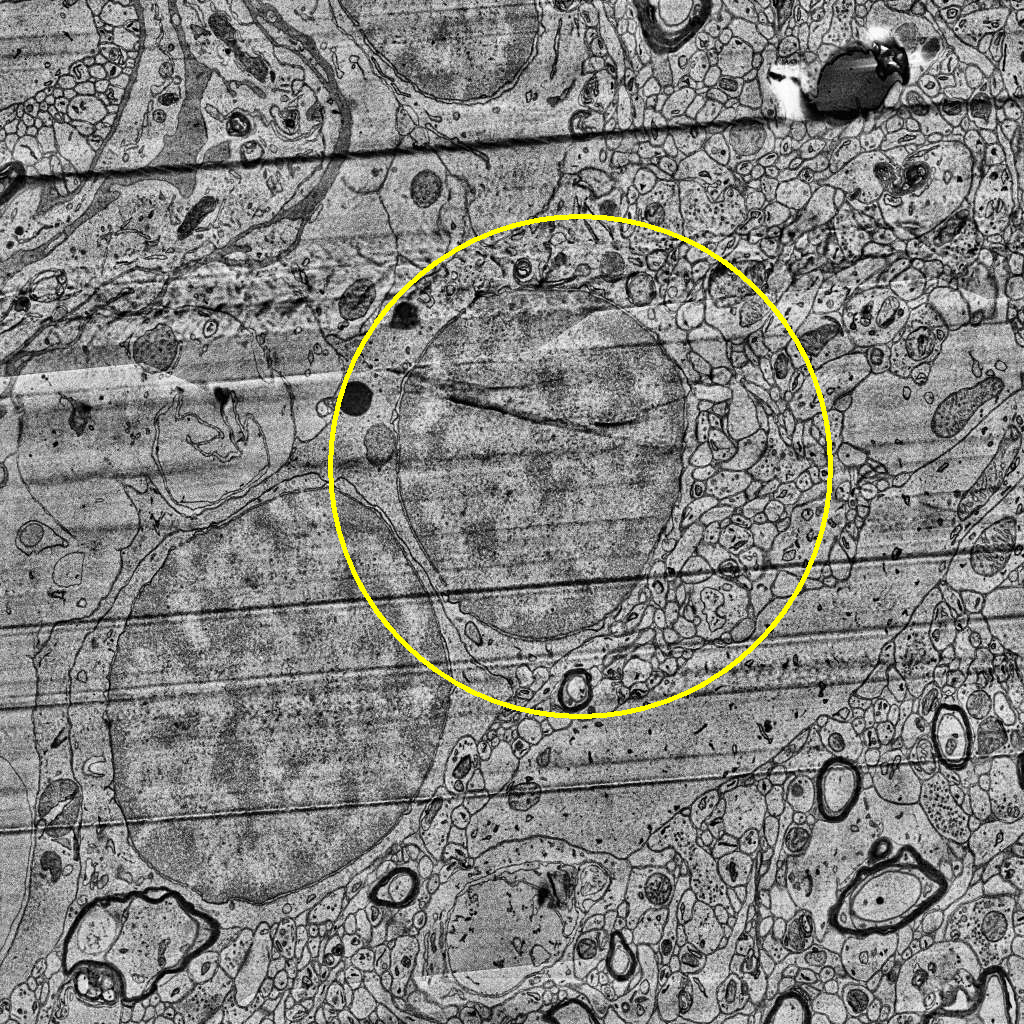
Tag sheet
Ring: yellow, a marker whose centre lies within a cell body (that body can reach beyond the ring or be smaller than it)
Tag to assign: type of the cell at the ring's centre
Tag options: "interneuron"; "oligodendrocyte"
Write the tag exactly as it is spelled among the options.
oligodendrocyte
